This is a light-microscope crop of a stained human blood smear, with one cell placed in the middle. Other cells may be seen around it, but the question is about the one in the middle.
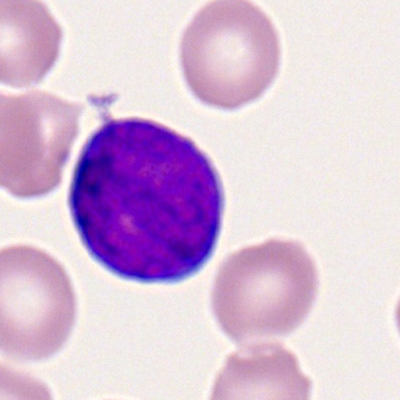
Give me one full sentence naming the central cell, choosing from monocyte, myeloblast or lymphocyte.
For this crop, the central cell is a myeloblast.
